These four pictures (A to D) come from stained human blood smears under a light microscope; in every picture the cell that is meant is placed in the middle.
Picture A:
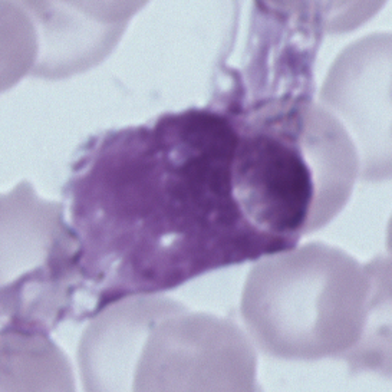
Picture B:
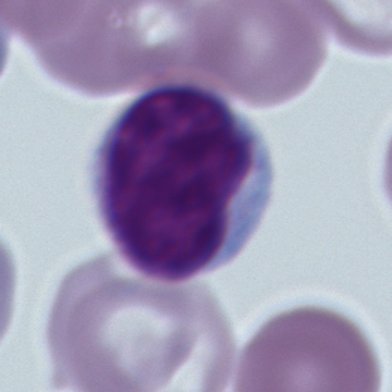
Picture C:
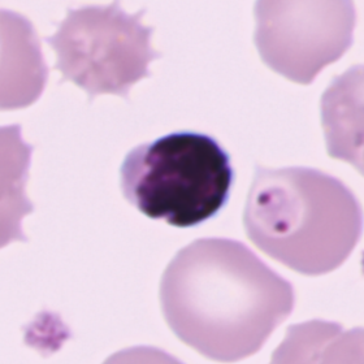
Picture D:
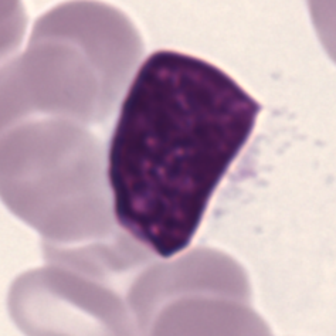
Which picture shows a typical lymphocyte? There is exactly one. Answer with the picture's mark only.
B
